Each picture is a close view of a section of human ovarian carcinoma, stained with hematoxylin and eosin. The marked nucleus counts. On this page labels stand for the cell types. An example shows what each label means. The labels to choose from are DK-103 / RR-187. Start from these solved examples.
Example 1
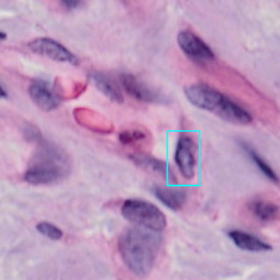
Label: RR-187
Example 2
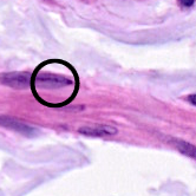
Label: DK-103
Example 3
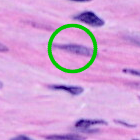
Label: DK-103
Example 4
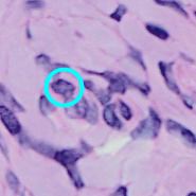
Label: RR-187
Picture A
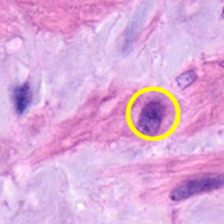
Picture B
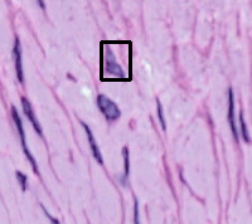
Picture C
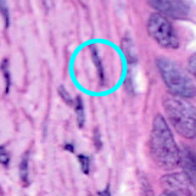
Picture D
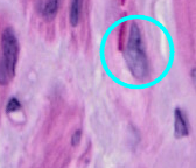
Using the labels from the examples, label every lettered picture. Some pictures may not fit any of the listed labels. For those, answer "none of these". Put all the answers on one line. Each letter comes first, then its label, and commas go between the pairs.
A DK-103, B none of these, C none of these, D RR-187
